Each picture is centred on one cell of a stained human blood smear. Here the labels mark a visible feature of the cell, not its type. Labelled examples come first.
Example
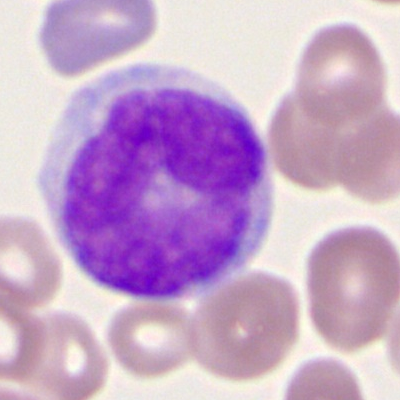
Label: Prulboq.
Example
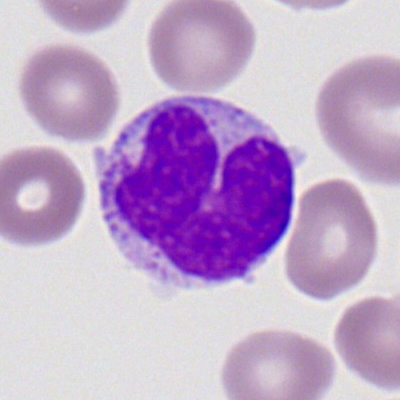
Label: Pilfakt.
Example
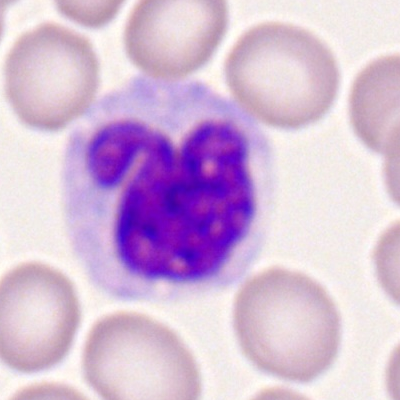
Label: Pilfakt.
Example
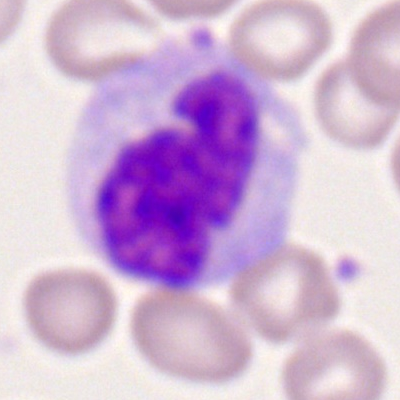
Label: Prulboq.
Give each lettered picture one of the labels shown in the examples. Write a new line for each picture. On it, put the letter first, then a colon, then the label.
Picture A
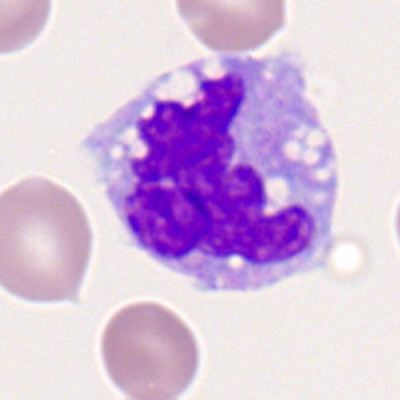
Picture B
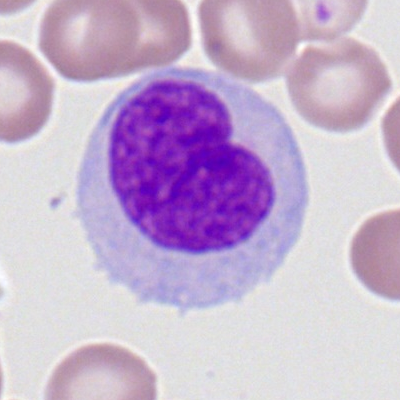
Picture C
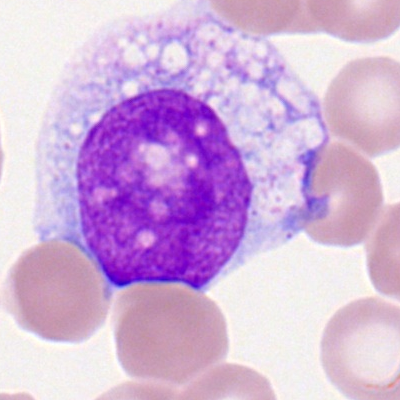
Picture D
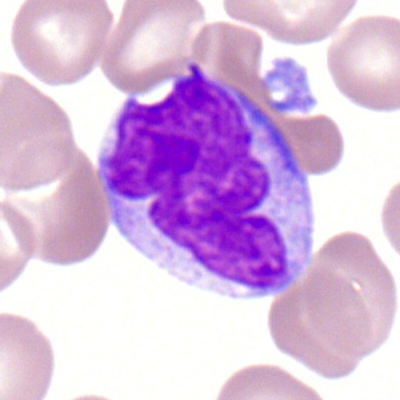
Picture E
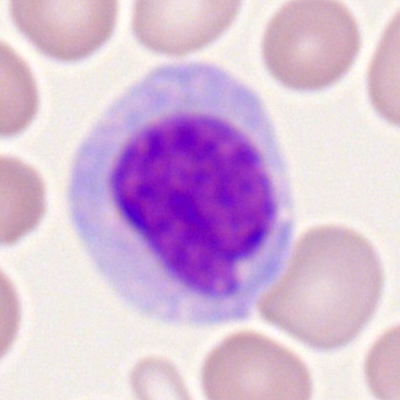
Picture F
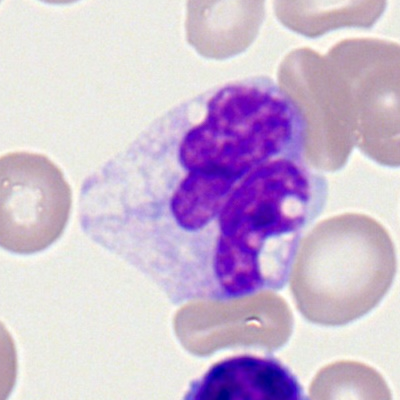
A: Pilfakt.
B: Prulboq.
C: Prulboq.
D: Pilfakt.
E: Prulboq.
F: Pilfakt.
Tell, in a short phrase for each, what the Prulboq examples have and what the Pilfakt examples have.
Seen in Prulboq: single compact nucleus; seen in Pilfakt: lobed nucleus.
